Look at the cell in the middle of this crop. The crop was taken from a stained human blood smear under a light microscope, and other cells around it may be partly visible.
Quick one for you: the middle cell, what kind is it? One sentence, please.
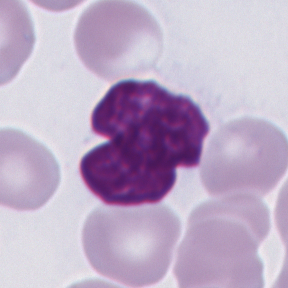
Classified as a smudge cell is the cell in the middle of this crop.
